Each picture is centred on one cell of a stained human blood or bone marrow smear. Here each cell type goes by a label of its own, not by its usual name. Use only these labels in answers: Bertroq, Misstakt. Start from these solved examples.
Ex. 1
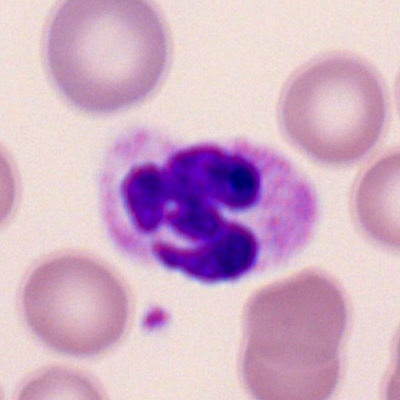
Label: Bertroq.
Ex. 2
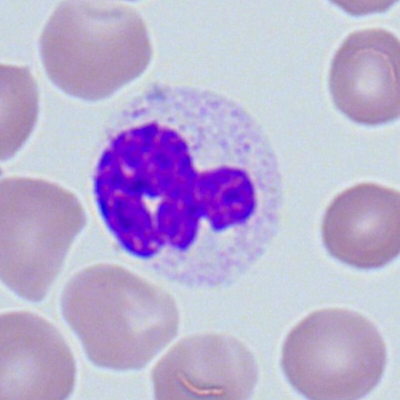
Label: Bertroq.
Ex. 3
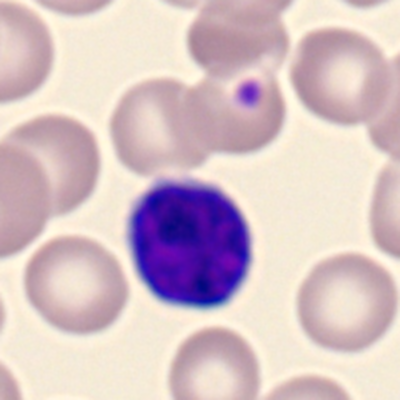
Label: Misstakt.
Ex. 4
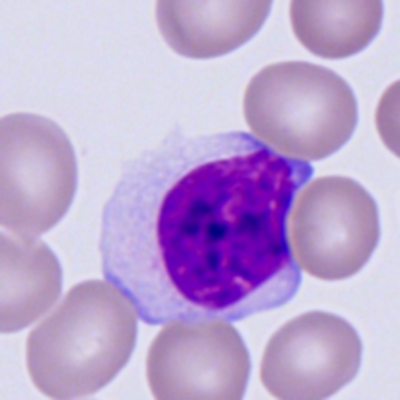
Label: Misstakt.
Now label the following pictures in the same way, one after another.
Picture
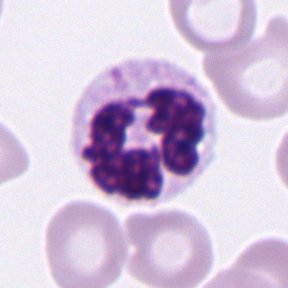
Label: Bertroq.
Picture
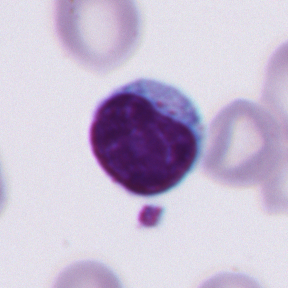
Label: Misstakt.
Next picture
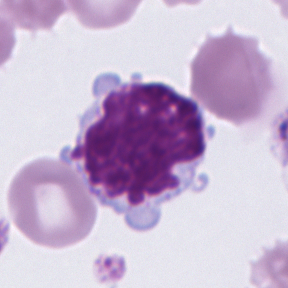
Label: Misstakt.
